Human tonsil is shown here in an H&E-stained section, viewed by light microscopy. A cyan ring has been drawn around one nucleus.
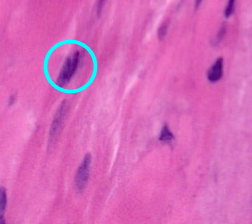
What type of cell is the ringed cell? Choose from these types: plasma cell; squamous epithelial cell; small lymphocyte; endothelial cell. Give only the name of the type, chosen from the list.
endothelial cell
